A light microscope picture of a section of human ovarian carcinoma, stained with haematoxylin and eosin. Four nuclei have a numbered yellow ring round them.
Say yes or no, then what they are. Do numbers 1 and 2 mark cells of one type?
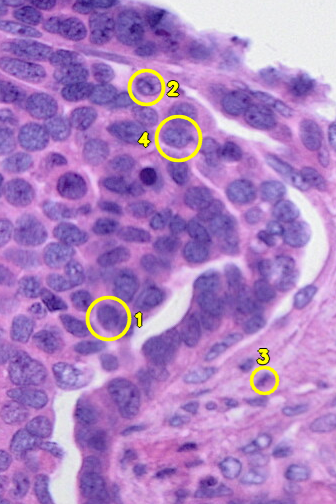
No, cell 1 should be called a carcinoma cell, and cell 2 should be called a macrophage or monocyte.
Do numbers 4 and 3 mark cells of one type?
No, while cell 4 is a carcinoma cell, cell 3 is a fibroblast.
